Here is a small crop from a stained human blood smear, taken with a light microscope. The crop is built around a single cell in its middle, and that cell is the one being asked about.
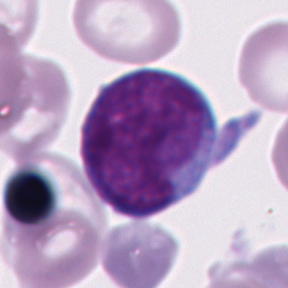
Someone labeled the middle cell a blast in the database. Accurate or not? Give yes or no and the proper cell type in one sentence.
Yes, that is a blast in the middle of the crop.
